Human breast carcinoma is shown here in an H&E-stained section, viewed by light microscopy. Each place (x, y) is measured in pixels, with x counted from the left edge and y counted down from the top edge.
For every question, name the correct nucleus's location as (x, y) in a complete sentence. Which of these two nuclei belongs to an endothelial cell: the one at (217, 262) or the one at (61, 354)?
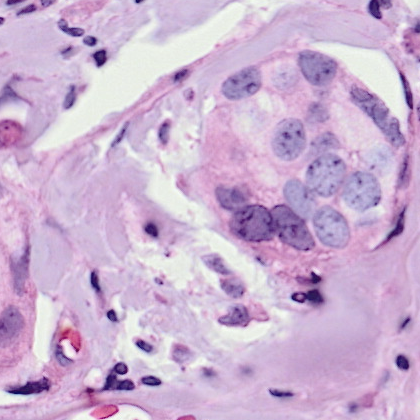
Of the two nuclei, that at (61, 354) is the nucleus of an endothelial cell.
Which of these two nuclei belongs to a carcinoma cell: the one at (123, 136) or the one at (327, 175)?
The one belonging to a carcinoma cell is the nucleus at (327, 175), not the other.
